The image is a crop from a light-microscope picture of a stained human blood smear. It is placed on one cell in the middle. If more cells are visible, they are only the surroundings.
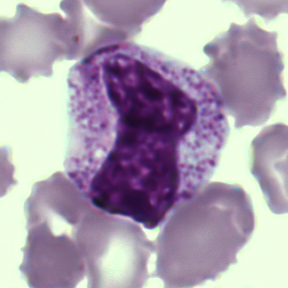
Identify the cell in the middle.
metamyelocyte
